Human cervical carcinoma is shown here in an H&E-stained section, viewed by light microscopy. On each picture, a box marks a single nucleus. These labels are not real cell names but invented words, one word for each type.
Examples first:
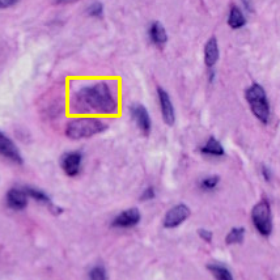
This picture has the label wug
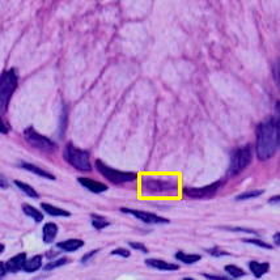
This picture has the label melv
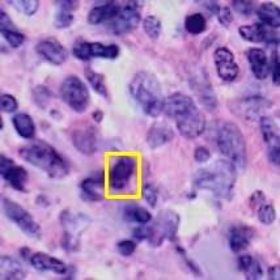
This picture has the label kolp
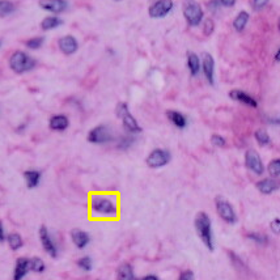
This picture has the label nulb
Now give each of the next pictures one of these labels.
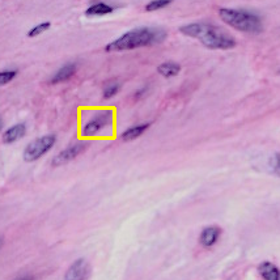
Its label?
nulb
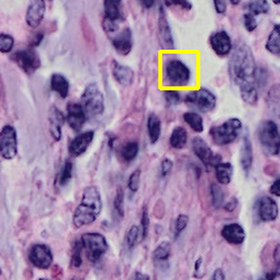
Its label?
kolp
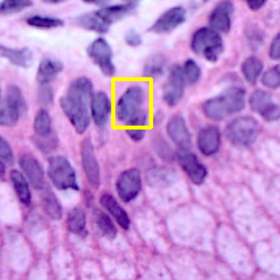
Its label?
melv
